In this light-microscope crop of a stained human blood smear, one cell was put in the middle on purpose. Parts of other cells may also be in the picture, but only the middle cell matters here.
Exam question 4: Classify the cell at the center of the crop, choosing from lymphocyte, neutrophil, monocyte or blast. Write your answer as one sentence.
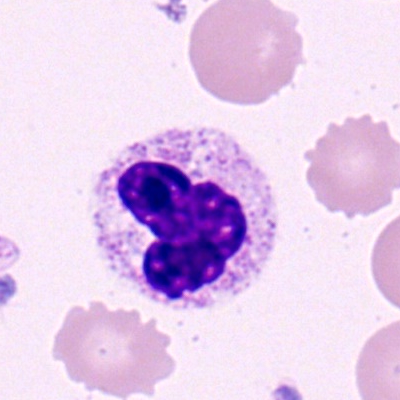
In short, the cell at the center is a neutrophil.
